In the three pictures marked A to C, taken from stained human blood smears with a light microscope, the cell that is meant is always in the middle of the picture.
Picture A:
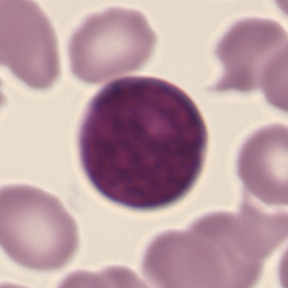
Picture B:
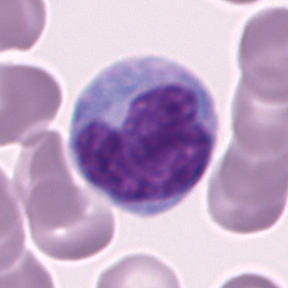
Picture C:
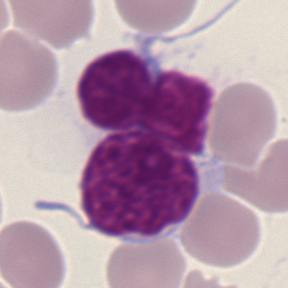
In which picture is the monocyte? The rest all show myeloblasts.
B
